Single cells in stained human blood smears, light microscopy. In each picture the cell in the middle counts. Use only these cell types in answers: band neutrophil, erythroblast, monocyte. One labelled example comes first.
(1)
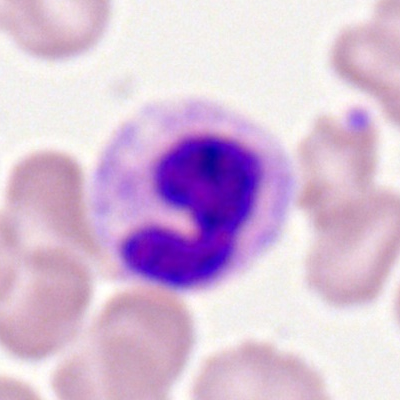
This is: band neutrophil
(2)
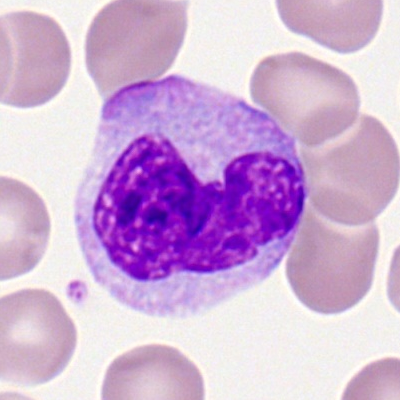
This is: monocyte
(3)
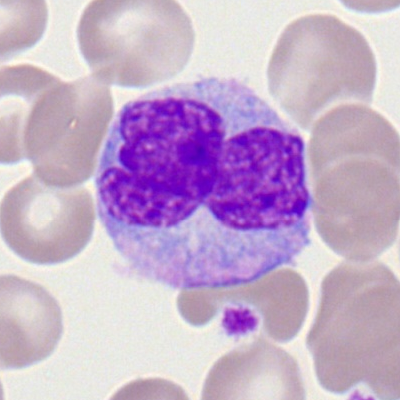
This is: monocyte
